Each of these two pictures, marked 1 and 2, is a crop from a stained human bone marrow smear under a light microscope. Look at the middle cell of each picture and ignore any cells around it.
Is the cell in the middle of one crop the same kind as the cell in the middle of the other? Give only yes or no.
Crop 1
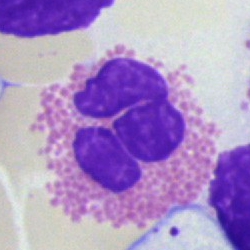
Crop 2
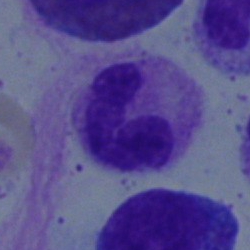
no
